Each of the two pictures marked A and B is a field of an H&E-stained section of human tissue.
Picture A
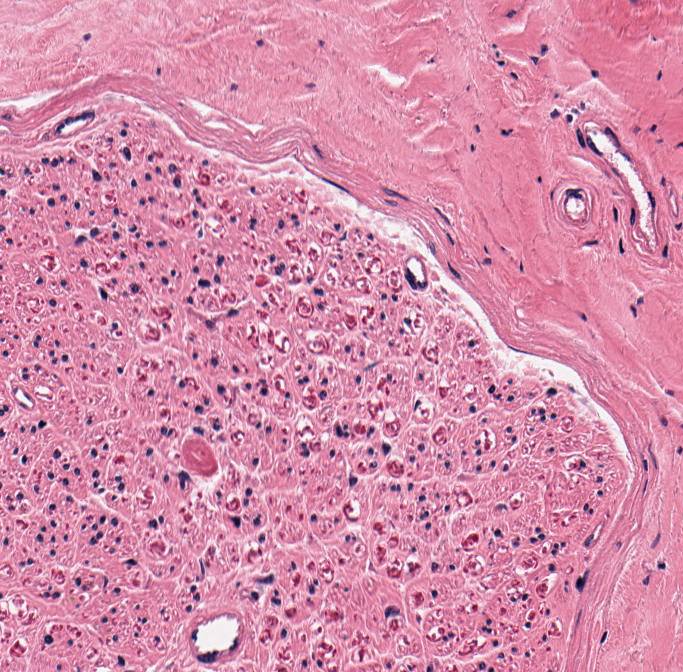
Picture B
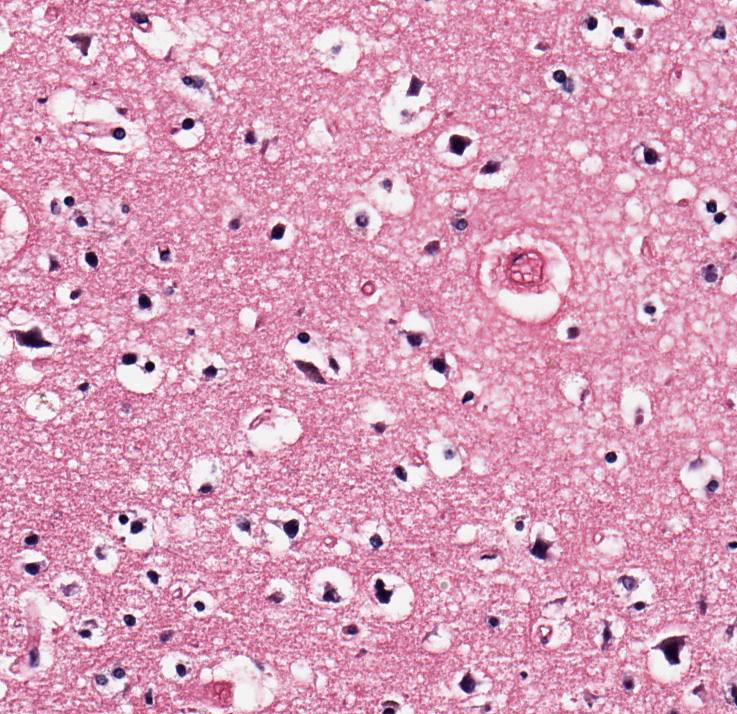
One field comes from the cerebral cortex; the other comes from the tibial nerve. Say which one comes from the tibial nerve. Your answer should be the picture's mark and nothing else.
A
